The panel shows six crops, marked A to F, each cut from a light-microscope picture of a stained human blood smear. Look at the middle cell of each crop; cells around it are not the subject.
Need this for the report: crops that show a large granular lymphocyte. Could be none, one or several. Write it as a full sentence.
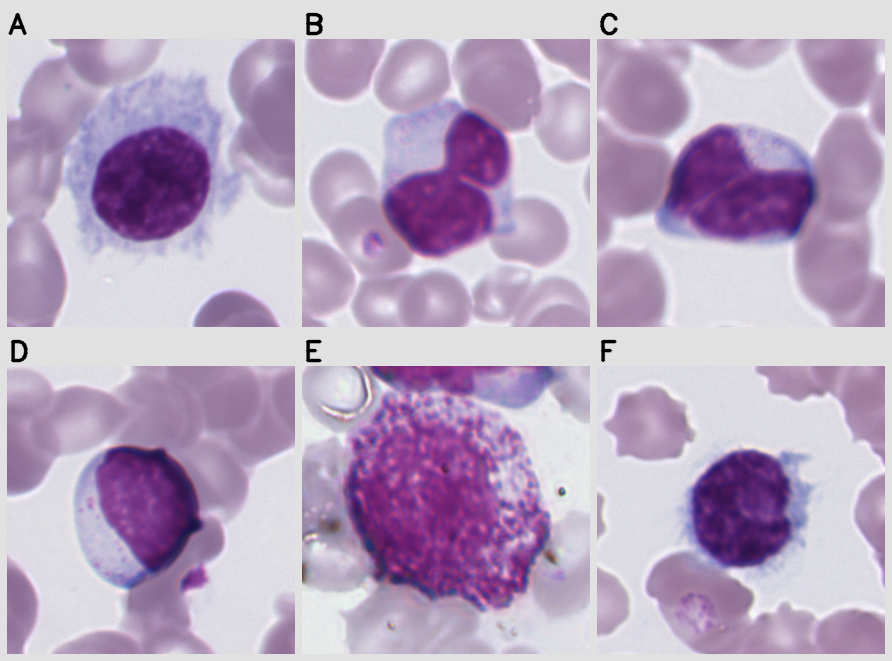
Crops B, C and D depict large granular lymphocytes in the middle.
